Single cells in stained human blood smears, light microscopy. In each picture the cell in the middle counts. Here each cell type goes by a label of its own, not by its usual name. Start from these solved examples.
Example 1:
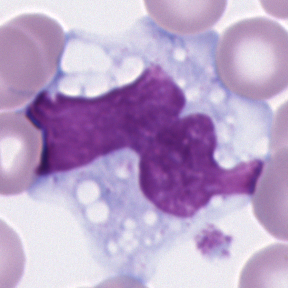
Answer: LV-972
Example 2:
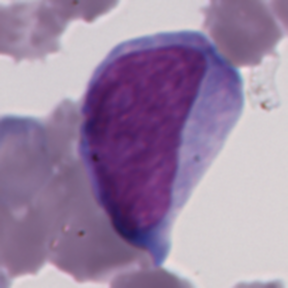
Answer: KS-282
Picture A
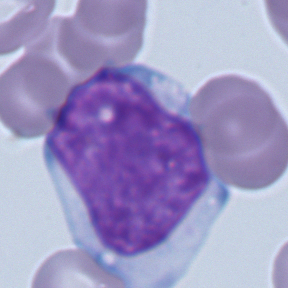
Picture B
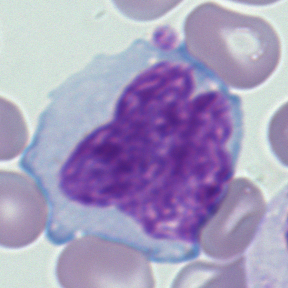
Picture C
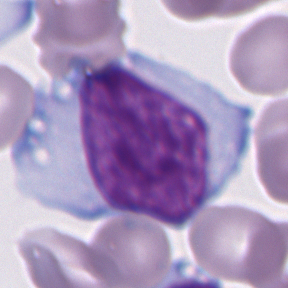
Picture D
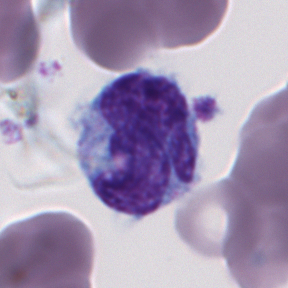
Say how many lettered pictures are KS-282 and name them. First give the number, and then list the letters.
3: A, B, C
